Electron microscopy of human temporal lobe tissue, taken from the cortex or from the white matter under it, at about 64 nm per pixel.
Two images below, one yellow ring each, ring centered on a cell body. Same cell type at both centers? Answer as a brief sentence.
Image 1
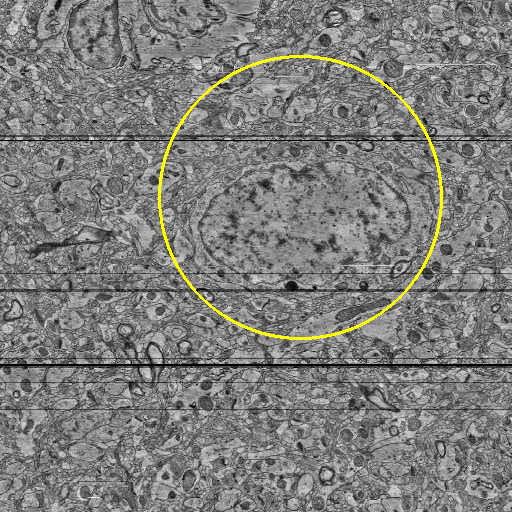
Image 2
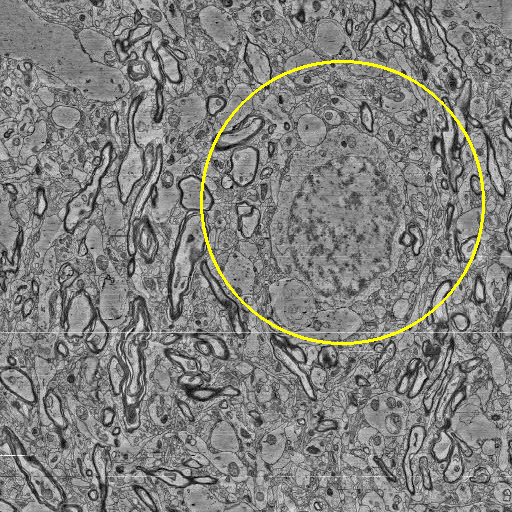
Yes, both cells are of the same type.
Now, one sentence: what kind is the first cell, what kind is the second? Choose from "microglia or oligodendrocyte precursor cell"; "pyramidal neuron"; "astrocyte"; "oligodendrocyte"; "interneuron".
The cell at the ring centre is an interneuron in both pictures.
